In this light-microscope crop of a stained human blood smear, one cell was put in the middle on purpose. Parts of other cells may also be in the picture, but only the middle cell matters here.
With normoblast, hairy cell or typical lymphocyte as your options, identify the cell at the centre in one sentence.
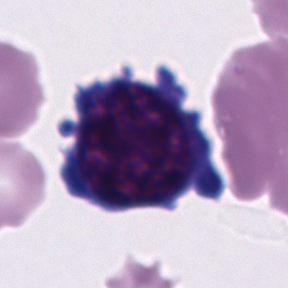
The single cell at the center of the crop is a normoblast.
